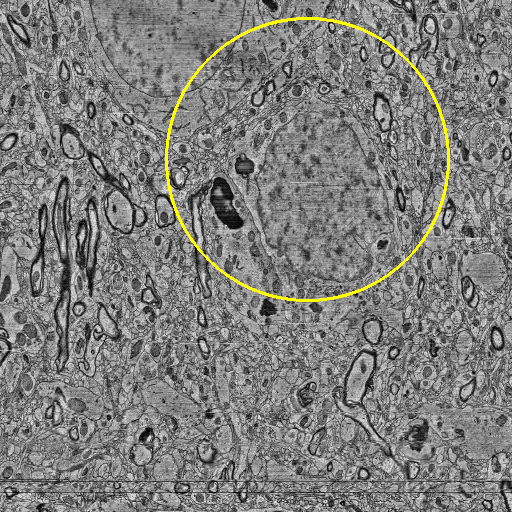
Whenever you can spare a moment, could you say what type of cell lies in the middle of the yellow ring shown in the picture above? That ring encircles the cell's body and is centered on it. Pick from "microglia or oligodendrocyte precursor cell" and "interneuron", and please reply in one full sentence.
The cell whose body sits at the middle of the yellow ring is an interneuron.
